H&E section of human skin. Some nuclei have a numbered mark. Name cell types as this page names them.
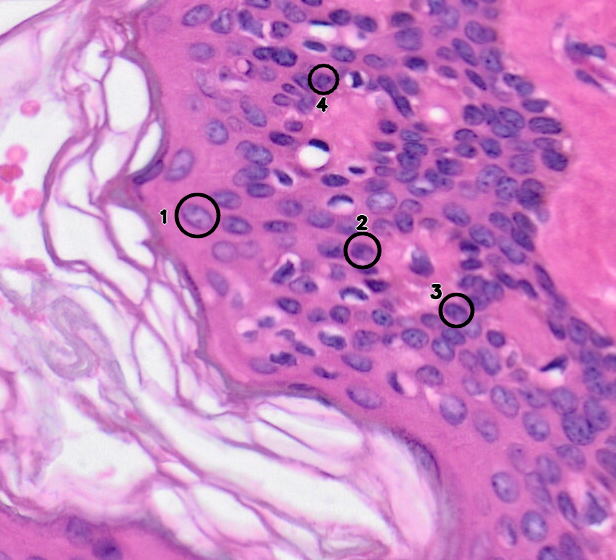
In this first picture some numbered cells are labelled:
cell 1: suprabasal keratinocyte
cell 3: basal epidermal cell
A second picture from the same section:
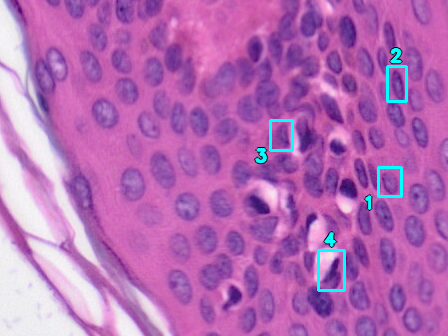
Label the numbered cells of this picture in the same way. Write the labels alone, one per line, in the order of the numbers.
suprabasal keratinocyte
suprabasal keratinocyte
basal epidermal cell
basal epidermal cell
